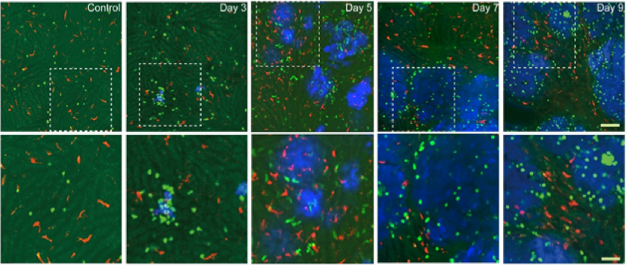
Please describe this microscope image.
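In the first frame there are no blue clusters, then small blue clusters appear, and in later frames they grow into large rounded masses. Green cells gather around and among the blue masses, as the enlarged lower row shows more closely.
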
